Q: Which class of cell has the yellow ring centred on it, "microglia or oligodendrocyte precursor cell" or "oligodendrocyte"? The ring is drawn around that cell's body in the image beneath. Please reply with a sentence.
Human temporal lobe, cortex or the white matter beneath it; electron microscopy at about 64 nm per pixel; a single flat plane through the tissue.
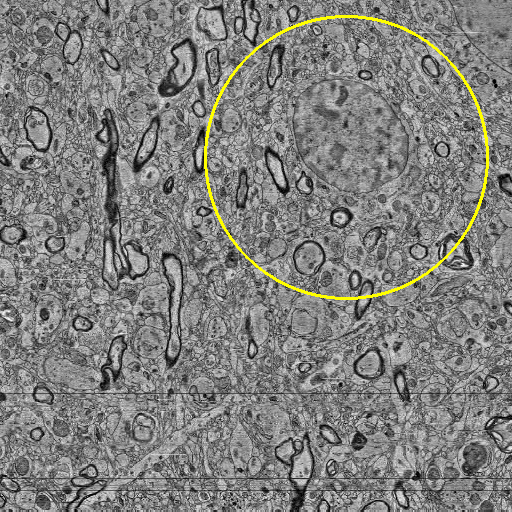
It is centred on an oligodendrocyte.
